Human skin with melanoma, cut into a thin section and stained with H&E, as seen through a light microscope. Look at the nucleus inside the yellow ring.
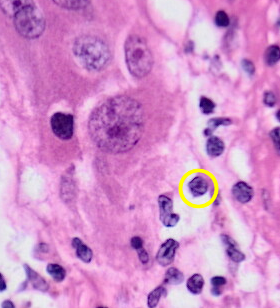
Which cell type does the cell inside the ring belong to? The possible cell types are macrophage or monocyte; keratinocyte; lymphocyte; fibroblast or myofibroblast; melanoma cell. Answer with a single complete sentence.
In terms of identity, the cell inside the ring is a lymphocyte.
